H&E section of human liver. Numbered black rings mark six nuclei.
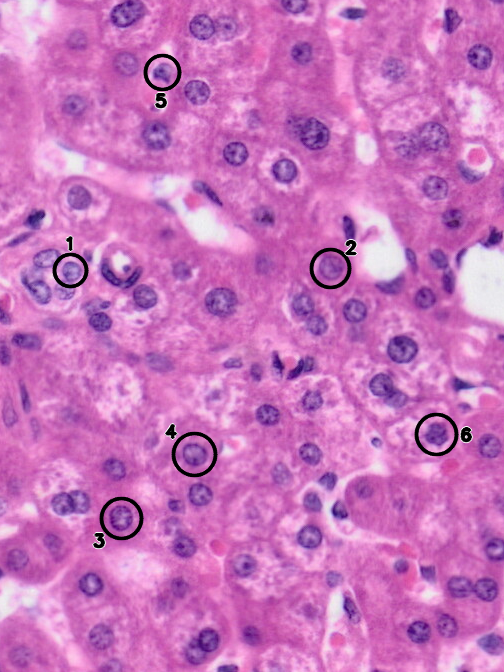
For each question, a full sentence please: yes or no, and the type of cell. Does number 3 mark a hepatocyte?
Yes, for number 3, the cell is a hepatocyte.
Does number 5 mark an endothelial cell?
Yes, regarding number 5, the cell is an endothelial cell.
